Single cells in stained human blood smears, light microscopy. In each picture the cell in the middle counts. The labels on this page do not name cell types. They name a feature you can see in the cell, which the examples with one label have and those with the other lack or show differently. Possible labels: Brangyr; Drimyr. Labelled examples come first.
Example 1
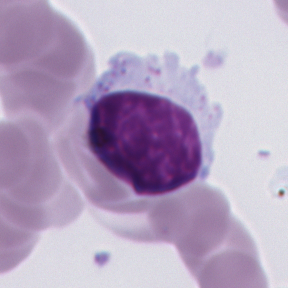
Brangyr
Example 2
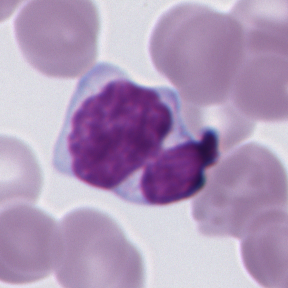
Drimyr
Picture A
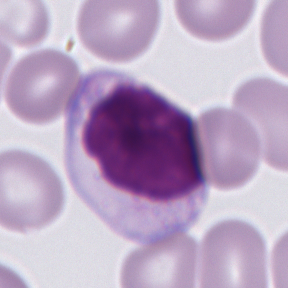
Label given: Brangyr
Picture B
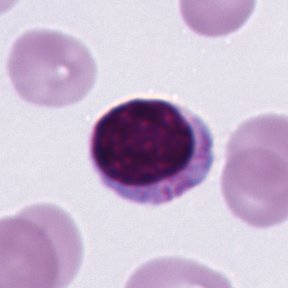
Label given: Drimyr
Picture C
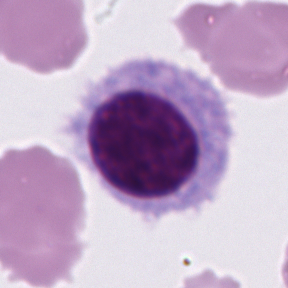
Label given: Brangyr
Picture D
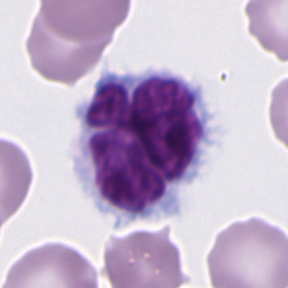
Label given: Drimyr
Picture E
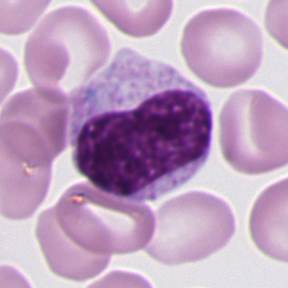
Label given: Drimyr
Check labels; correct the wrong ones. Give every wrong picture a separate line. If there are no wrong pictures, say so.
B is labelled Drimyr; correct label: Brangyr
E is labelled Drimyr; correct label: Brangyr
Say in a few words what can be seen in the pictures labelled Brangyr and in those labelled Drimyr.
Seen in Brangyr: single compact nucleus; seen in Drimyr: lobed nucleus.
